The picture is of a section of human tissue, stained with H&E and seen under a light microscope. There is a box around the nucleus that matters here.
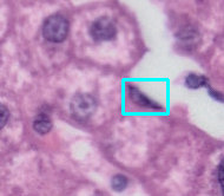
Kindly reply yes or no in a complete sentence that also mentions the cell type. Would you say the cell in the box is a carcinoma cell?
No, not a carcinoma cell: the cell in the box is an endothelial cell.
